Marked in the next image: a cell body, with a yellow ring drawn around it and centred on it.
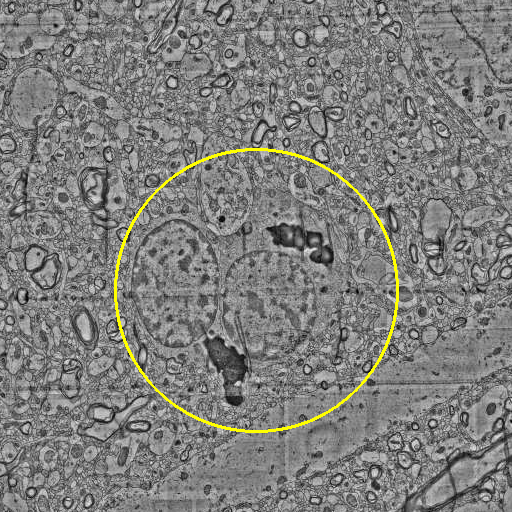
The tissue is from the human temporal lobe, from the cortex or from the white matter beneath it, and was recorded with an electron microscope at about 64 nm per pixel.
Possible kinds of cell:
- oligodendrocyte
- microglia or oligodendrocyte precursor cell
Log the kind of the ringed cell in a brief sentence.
The ringed cell body is that of an oligodendrocyte.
